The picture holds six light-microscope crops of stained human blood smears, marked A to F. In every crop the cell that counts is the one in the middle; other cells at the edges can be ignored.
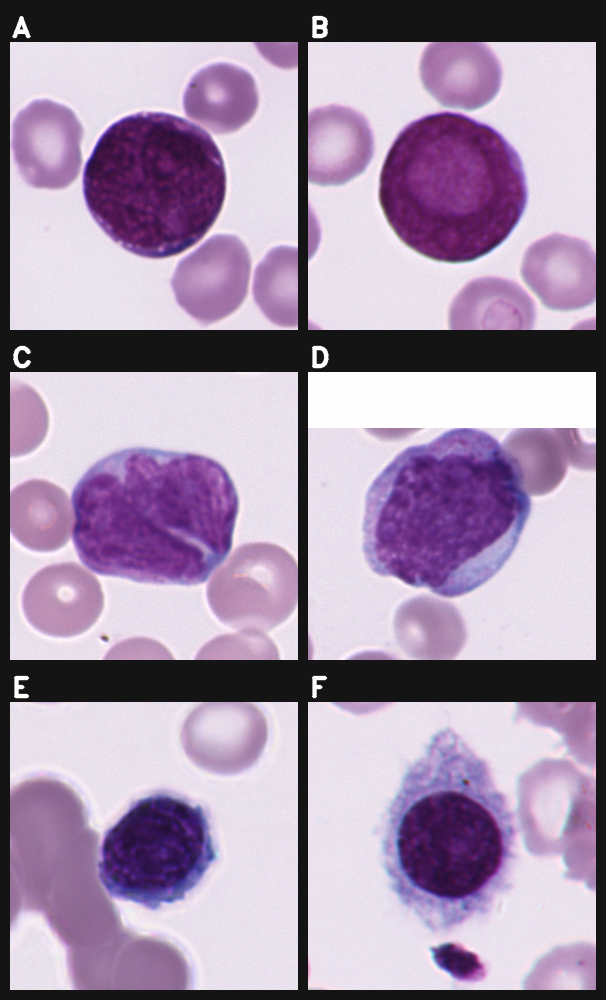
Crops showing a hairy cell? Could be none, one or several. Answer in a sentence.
Only crop F shows a hairy cell; none of the others do.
